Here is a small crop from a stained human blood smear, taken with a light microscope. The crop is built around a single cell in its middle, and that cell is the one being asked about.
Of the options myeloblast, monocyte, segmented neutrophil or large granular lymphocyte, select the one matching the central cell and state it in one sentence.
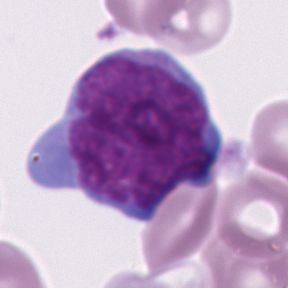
The cell of interest, located centrally, is a myeloblast.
